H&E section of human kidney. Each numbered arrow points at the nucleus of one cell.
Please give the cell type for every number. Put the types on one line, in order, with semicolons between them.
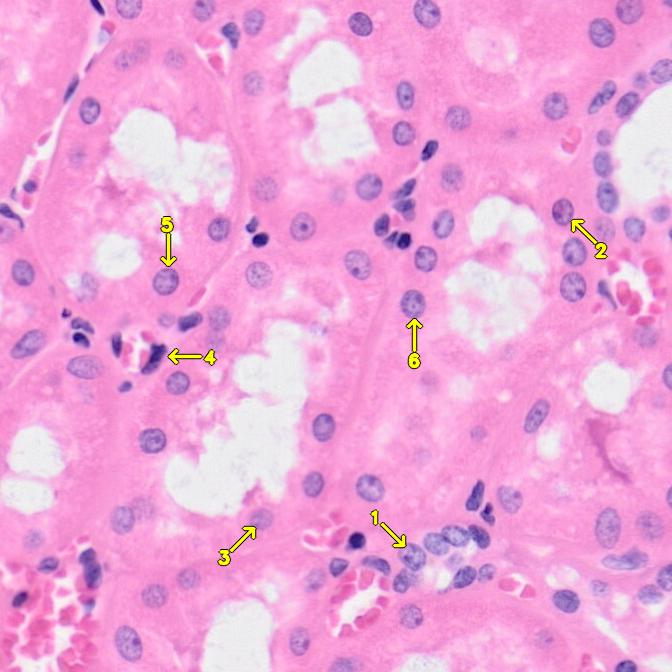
collecting duct cell; proximal tubule cell; proximal tubule cell; endothelial cell; proximal tubule cell; proximal tubule cell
